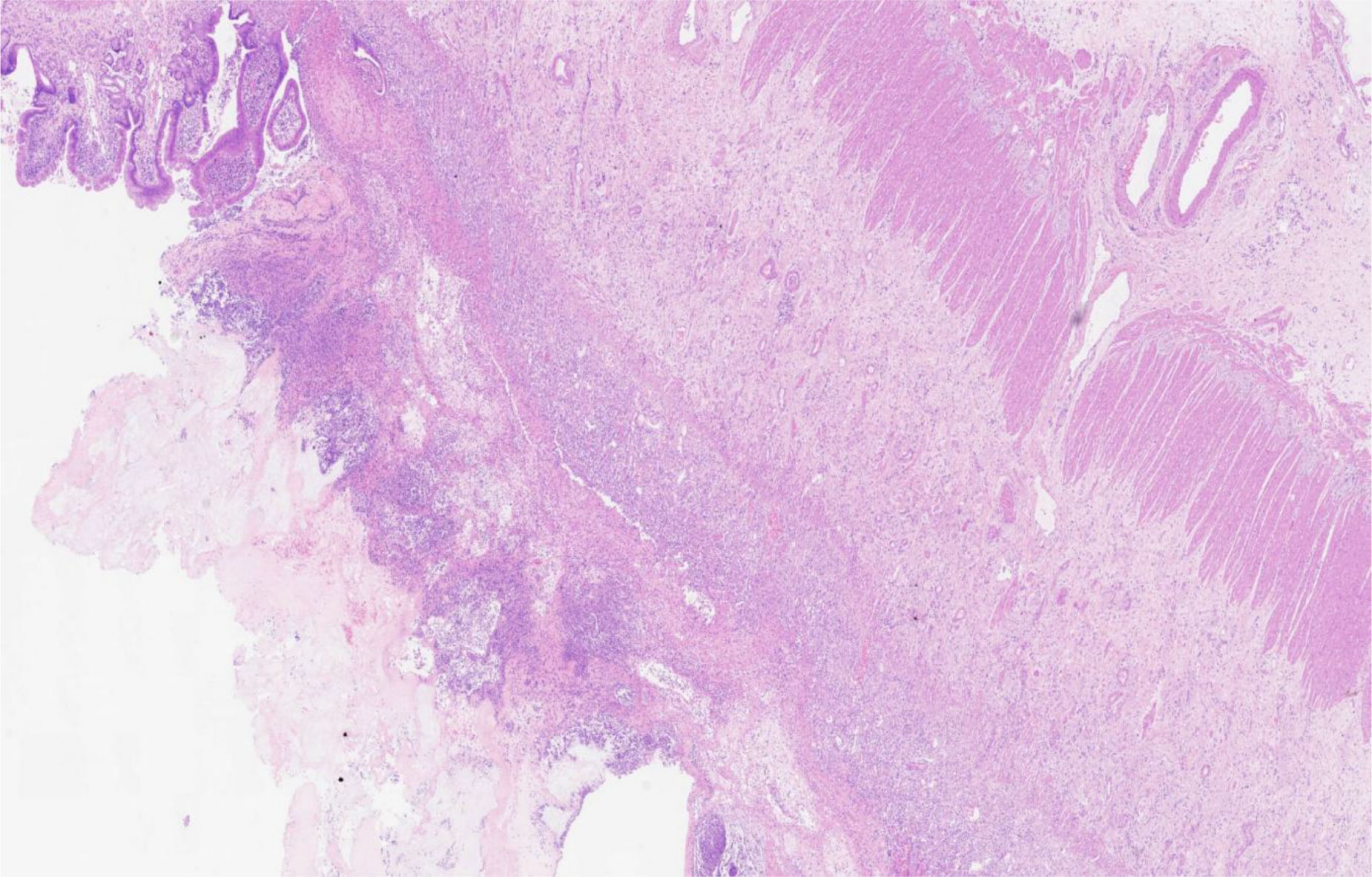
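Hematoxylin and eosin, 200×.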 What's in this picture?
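Full-thickness section of gut wall. Intact glandular mucosa survives only at one corner. Elsewhere the surface lacks glands and is covered by pale pink amorphous debris overlying a dense band of dark purple inflammatory cells. Beneath this lies thickened, cellular connective tissue with small vessels, then bundles of pink smooth muscle and larger thick-walled vessels.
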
